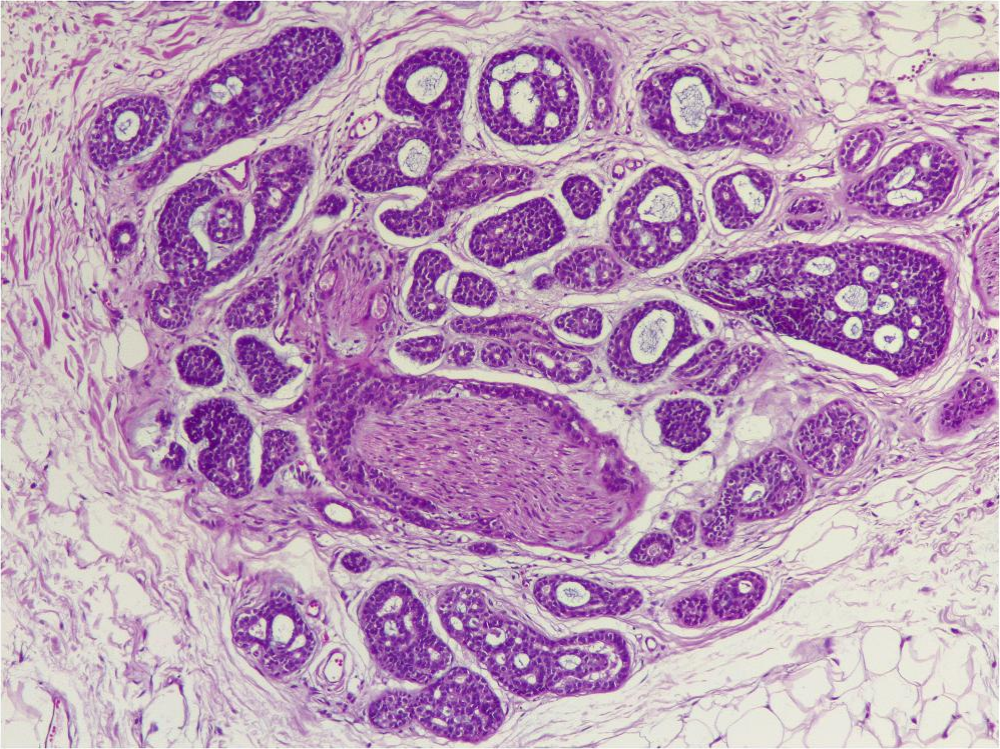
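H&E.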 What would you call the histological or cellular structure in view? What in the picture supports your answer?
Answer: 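Nests of dark purple cells are perforated by several round, punched-out spaces. Some spaces hold pale, faintly bluish material.
Hence: cribriform pattern.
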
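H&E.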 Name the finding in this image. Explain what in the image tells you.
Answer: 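Perineural invasion. A central oval bundle of pale pink, wavy fibres with elongated nuclei. The bundle is rimmed closely by a layer of dark purple epithelial cells.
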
